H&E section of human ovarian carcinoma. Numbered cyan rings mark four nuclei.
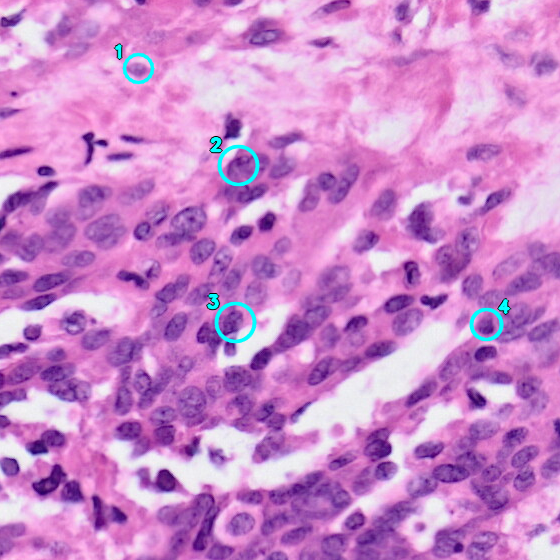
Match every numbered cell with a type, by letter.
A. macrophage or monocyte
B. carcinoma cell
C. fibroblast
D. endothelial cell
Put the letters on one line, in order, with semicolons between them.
C; B; B; B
